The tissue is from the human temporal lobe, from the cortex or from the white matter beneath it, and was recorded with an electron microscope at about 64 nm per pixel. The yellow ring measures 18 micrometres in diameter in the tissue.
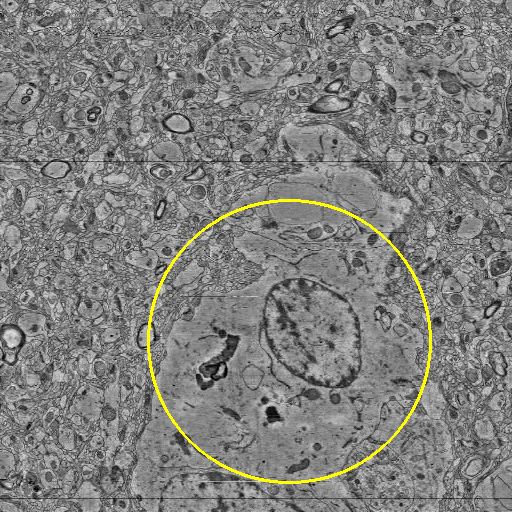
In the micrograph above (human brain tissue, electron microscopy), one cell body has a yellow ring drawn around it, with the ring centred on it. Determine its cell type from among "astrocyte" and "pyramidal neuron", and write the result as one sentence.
The cell whose body is ringed is an astrocyte.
